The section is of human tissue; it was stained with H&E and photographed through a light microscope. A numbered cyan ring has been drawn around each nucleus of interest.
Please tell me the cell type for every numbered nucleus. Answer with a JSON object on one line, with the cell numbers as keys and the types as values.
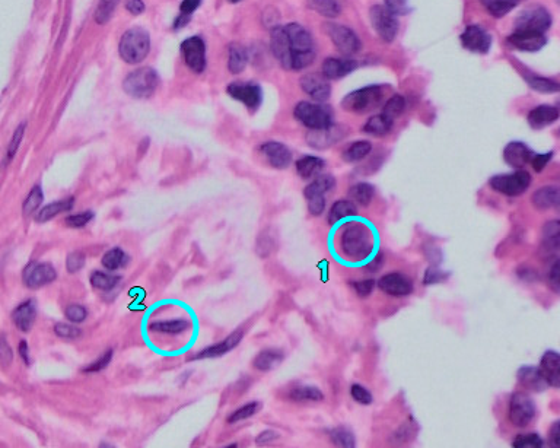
{"1": "carcinoma cell", "2": "fibroblast"}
